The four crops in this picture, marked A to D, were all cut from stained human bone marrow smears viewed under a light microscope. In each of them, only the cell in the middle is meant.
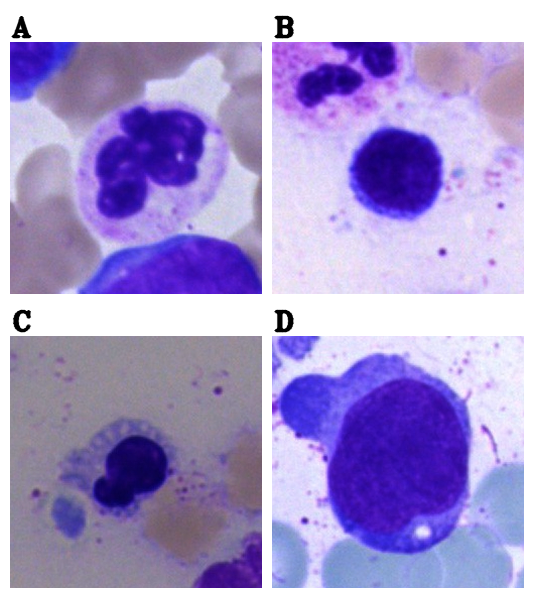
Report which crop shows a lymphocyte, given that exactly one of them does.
B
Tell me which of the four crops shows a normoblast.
C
